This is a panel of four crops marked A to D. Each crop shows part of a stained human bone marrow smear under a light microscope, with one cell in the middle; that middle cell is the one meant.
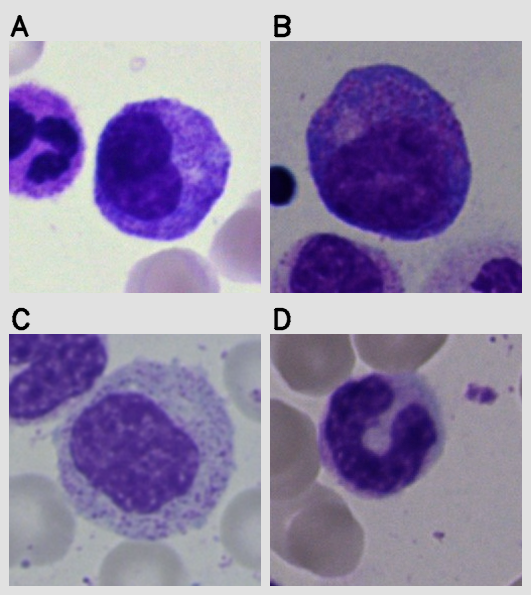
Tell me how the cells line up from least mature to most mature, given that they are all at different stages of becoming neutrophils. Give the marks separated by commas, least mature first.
B, C, A, D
